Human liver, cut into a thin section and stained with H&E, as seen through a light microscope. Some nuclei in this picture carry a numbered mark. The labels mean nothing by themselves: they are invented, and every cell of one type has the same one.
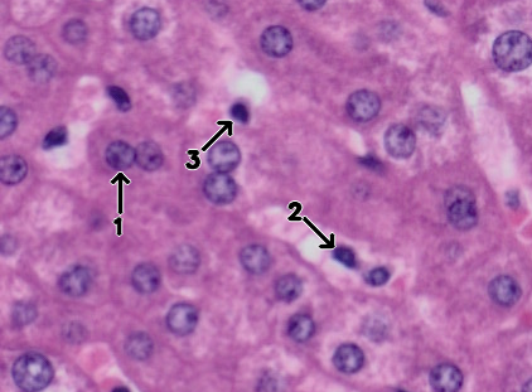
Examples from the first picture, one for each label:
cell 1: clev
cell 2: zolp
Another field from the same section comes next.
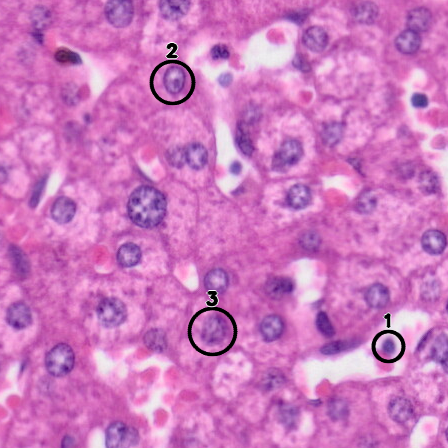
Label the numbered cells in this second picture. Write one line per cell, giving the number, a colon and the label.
1: zolp
2: clev
3: clev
